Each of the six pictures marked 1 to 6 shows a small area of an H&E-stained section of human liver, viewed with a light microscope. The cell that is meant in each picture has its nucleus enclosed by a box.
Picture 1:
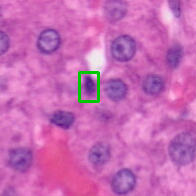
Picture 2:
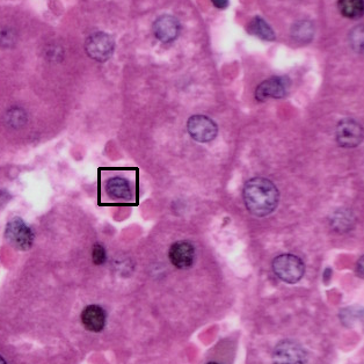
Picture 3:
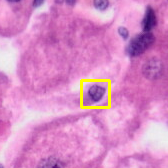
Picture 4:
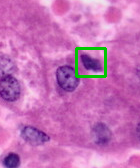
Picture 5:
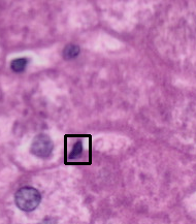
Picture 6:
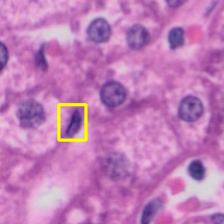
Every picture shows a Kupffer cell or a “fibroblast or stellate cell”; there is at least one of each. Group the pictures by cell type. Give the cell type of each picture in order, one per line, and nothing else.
fibroblast or stellate cell
Kupffer cell
Kupffer cell
fibroblast or stellate cell
fibroblast or stellate cell
fibroblast or stellate cell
